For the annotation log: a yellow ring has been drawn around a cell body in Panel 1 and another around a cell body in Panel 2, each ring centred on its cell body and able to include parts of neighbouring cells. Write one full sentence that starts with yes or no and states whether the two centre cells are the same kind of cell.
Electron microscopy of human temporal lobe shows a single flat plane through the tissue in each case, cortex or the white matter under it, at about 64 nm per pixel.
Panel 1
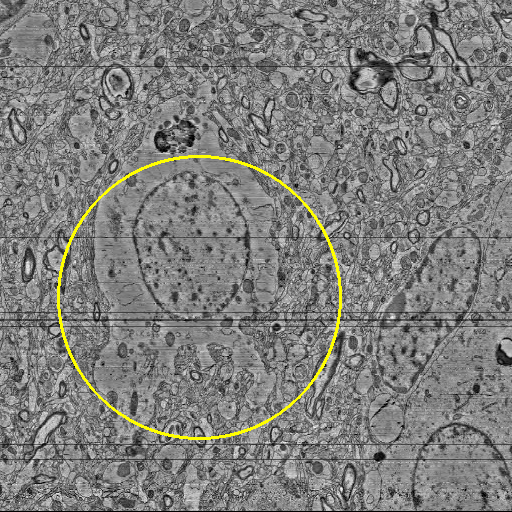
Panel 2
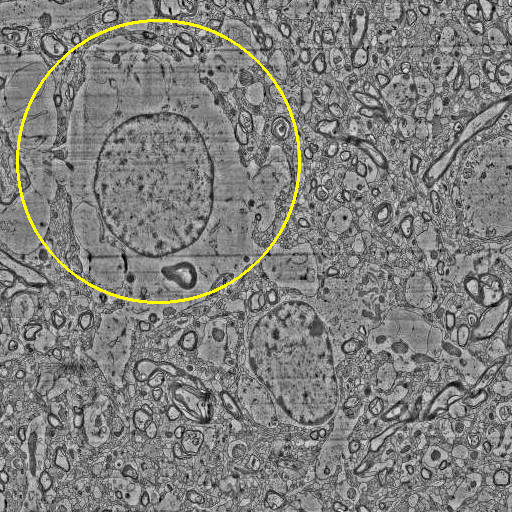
Yes, the two centre cells are the same kind of cell.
